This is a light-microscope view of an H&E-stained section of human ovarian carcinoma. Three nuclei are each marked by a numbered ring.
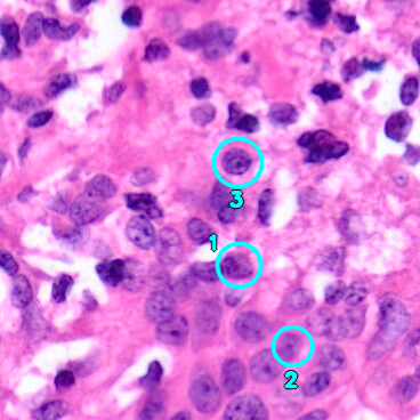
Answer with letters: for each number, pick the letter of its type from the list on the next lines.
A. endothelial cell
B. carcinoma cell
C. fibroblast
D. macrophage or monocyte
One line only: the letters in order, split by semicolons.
B; B; D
